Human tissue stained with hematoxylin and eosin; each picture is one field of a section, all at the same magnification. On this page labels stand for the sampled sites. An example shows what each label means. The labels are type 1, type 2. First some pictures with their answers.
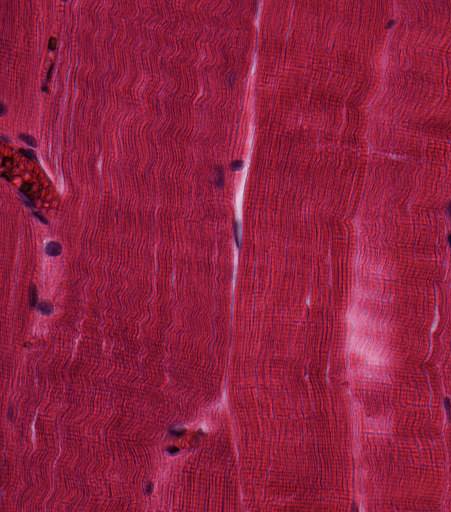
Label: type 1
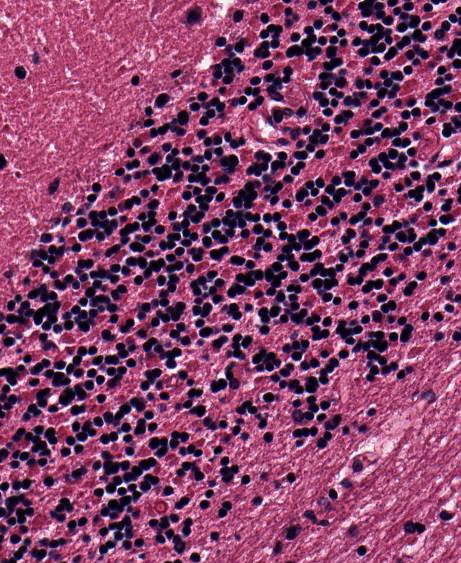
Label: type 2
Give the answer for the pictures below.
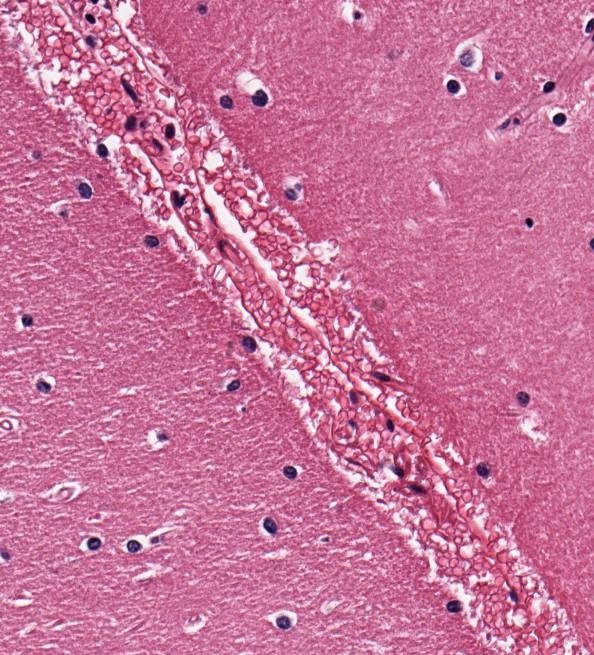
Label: type 2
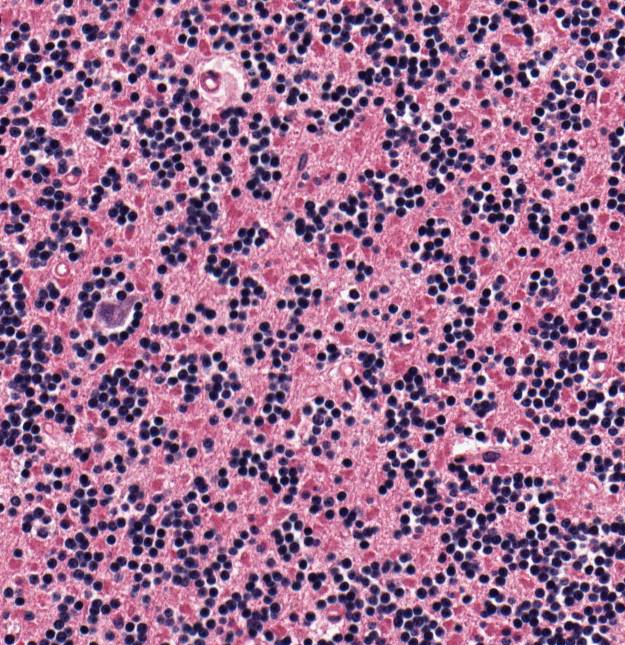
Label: type 2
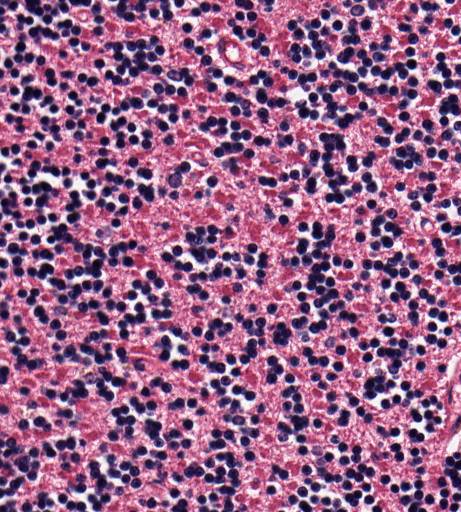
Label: type 2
